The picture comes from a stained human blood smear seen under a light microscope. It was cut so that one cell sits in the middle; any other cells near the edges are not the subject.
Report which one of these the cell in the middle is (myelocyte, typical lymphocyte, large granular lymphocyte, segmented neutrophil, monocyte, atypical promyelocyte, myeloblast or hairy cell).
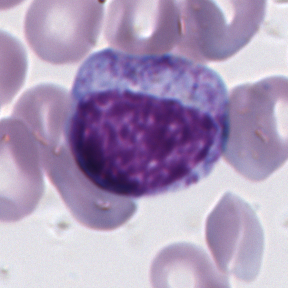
myelocyte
